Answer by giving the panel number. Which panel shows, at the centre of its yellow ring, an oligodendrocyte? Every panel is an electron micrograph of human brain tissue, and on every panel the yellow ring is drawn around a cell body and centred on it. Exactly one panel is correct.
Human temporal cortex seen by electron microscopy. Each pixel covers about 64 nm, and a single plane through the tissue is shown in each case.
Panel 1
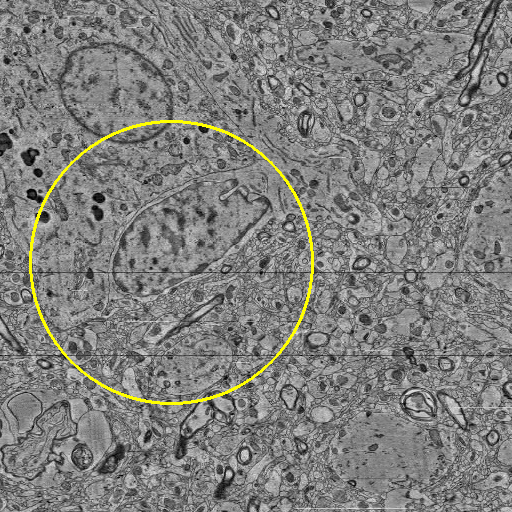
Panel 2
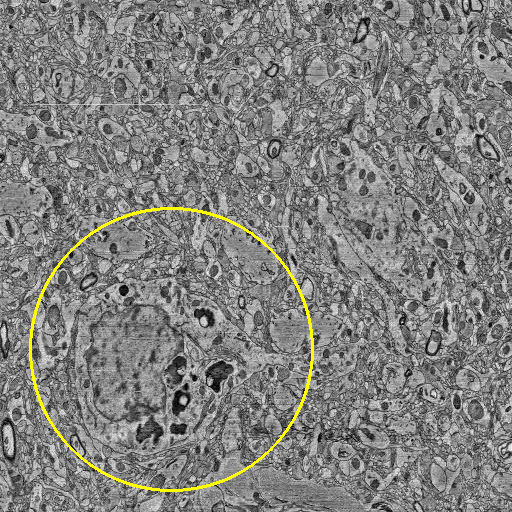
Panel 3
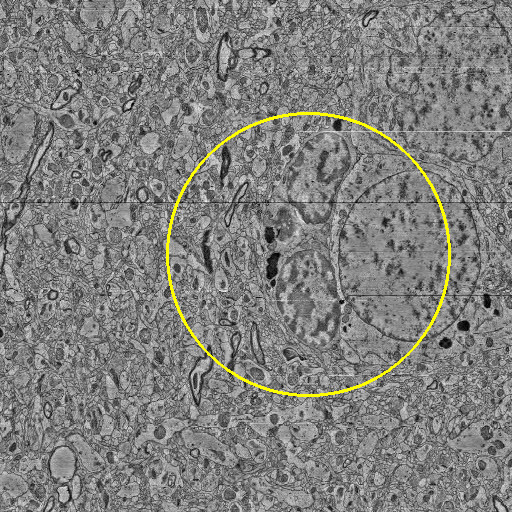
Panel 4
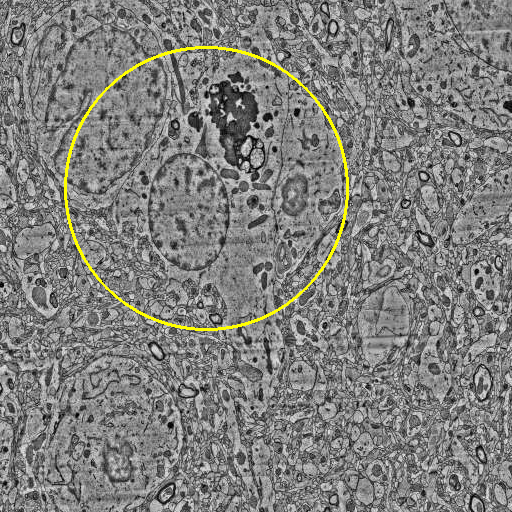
3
